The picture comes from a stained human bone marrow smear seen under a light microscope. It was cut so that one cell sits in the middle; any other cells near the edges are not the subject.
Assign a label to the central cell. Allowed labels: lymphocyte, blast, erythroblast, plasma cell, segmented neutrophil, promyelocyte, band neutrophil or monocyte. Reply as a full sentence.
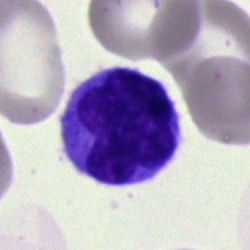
The centrally located cell in the crop is a lymphocyte.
